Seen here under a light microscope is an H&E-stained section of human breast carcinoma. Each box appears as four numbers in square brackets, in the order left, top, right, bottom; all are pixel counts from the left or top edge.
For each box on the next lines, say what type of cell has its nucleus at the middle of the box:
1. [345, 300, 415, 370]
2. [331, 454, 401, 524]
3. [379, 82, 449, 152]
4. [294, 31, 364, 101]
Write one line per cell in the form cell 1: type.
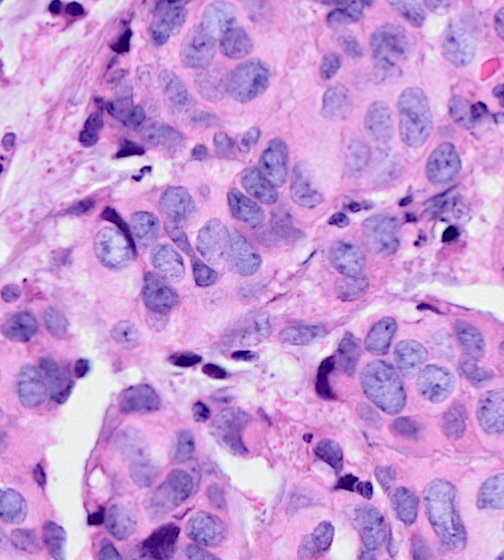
cell 1: carcinoma cell
cell 2: lymphocyte
cell 3: carcinoma cell
cell 4: carcinoma cell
